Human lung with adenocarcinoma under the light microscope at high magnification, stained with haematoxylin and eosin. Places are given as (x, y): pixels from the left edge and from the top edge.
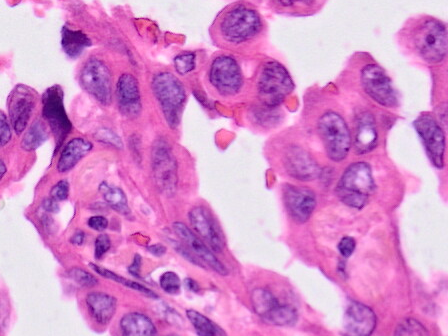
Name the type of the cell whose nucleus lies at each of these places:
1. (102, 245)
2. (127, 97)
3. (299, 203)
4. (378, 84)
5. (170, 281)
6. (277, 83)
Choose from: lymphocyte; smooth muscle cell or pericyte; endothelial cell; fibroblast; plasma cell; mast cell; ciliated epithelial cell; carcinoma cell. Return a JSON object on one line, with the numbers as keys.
{"1": "plasma cell", "2": "carcinoma cell", "3": "carcinoma cell", "4": "carcinoma cell", "5": "lymphocyte", "6": "carcinoma cell"}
